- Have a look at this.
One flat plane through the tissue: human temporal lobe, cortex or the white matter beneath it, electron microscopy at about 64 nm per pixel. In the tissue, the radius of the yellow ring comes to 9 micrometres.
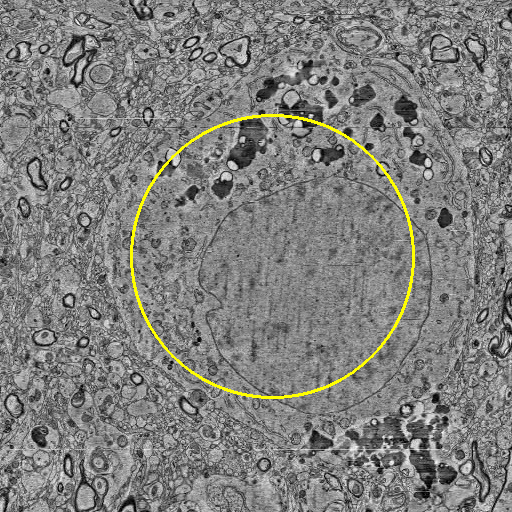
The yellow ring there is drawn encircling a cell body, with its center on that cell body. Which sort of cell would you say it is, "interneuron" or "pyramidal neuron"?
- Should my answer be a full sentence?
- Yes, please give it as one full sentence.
For this picture, a pyramidal neuron is the cell where the yellow ring has its center.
